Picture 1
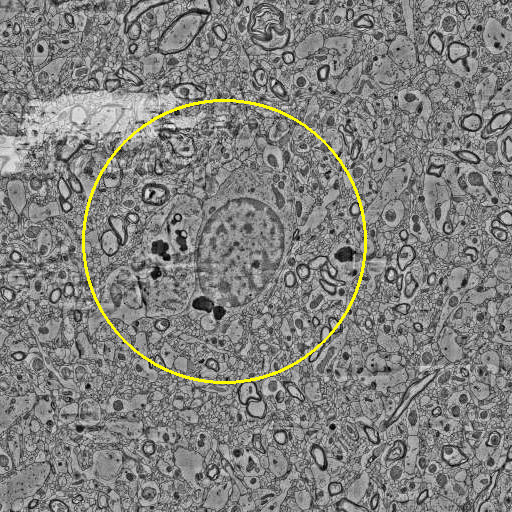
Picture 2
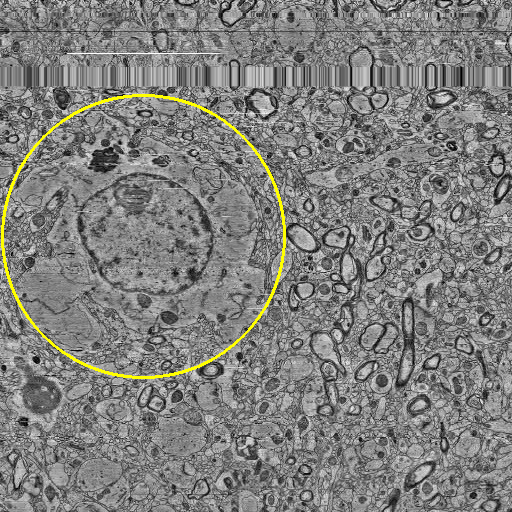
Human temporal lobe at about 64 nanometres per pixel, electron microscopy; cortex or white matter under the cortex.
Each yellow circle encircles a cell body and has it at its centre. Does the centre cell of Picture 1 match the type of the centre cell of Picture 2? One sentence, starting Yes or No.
No, the cell centred in Picture 1 and the one in Picture 2 have separate types.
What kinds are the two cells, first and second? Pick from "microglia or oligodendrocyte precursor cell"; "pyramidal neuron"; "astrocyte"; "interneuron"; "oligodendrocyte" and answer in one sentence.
The second picture holds an astrocyte in its ring, and the first holds an oligodendrocyte.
